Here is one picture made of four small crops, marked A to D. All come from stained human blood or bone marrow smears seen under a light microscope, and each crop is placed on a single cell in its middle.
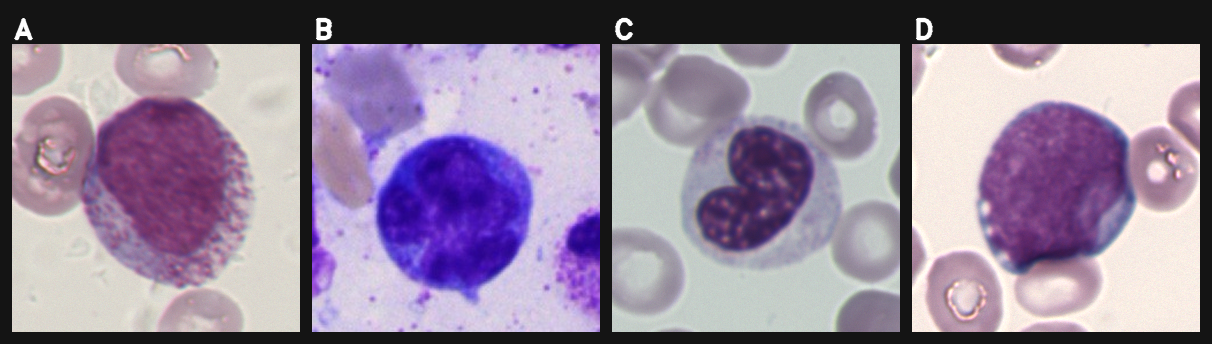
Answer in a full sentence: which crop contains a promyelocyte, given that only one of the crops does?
Crop A alone, of all the crops, shows a promyelocyte.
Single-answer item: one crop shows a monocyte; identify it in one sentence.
Crop B alone, of all the crops, shows a monocyte.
